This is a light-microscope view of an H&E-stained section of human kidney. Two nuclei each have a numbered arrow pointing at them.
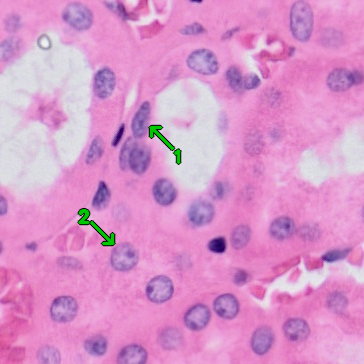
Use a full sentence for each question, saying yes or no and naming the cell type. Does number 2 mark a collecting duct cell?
No, it is a proximal tubule cell, rather than a collecting duct cell, that carries number 2.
